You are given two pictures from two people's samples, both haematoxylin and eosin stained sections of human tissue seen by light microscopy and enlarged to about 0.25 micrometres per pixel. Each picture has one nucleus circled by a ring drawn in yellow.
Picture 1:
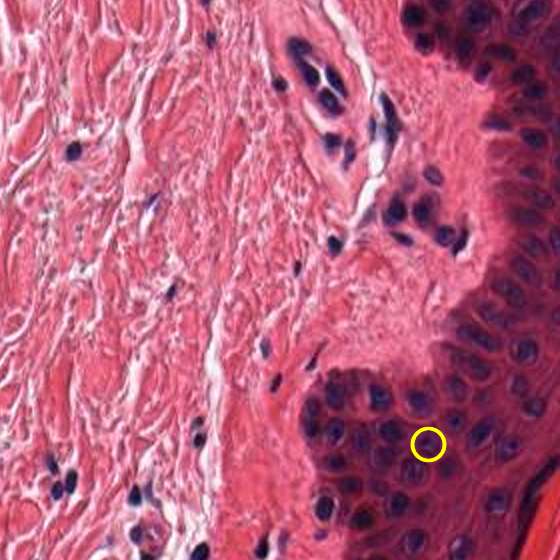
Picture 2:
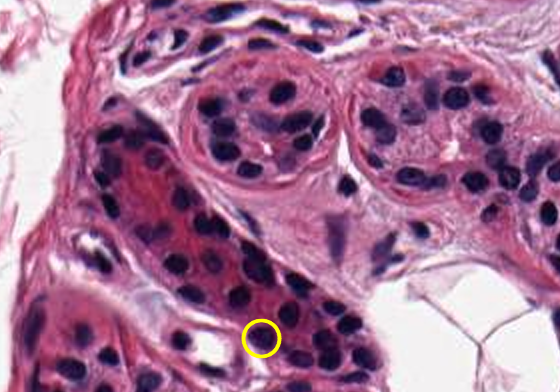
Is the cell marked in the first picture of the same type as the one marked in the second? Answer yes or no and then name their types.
No, the first is a keratinocyte and the second a sweat gland cell.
